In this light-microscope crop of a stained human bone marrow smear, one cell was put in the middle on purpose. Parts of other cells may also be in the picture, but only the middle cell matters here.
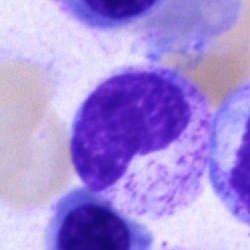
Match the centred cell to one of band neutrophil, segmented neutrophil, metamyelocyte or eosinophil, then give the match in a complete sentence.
The cell at the heart of this crop is a metamyelocyte.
